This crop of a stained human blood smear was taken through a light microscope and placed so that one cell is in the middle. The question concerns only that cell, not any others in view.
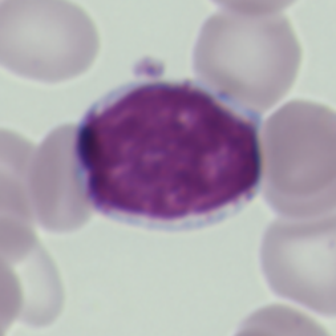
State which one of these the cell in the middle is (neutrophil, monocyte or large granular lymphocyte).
large granular lymphocyte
